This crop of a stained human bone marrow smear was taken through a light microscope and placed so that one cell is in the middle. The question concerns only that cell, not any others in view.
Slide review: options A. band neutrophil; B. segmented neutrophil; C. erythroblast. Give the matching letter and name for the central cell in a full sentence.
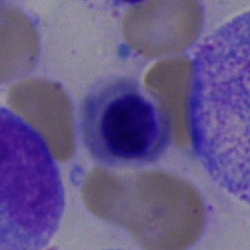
The cell in the center of this crop is an erythroblast, so option C is the one to pick.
